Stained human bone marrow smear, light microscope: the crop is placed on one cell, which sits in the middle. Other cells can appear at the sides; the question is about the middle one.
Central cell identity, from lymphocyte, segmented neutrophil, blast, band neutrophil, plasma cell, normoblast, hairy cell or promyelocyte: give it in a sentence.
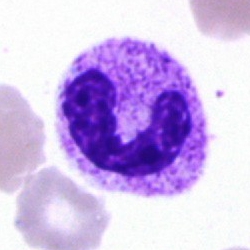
Here the cell in the middle is a segmented neutrophil.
